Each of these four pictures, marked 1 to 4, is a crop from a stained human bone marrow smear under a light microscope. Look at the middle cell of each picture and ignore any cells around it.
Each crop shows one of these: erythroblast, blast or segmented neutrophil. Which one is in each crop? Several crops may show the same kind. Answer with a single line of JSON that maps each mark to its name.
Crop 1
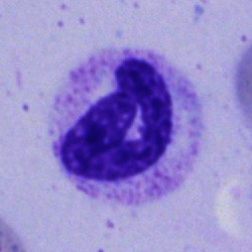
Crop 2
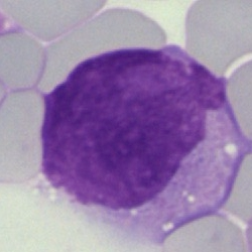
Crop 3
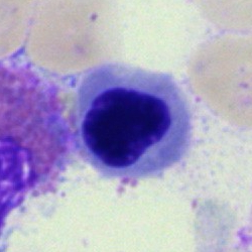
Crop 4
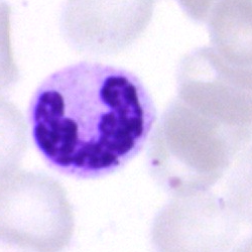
{"1": "segmented neutrophil", "2": "blast", "3": "erythroblast", "4": "segmented neutrophil"}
